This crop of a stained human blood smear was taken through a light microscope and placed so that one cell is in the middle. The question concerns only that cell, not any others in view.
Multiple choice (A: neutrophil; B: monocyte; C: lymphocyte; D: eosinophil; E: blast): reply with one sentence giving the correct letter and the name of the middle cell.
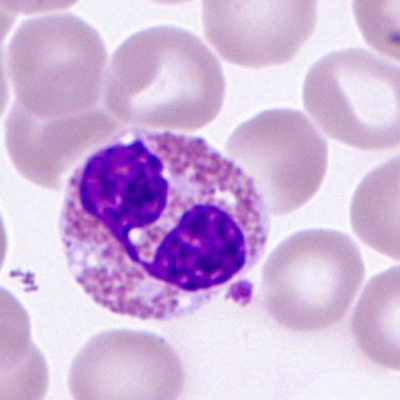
This one is option D, since the cell at the center is an eosinophil.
